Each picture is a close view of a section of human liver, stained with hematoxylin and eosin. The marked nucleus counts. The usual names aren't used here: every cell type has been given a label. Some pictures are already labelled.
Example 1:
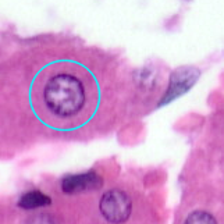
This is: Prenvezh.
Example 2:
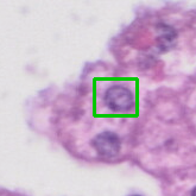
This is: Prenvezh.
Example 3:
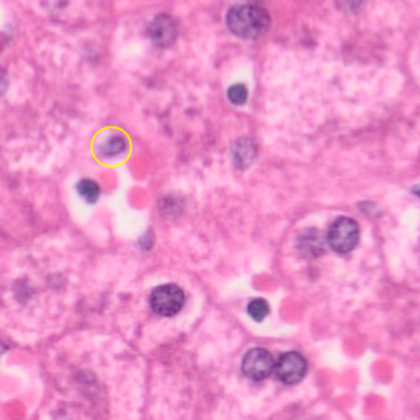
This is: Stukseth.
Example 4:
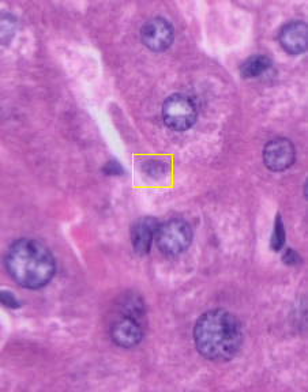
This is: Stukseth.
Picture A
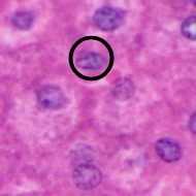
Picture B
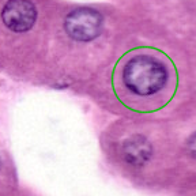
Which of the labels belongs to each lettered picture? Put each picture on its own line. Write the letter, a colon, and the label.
A: Stukseth.
B: Prenvezh.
